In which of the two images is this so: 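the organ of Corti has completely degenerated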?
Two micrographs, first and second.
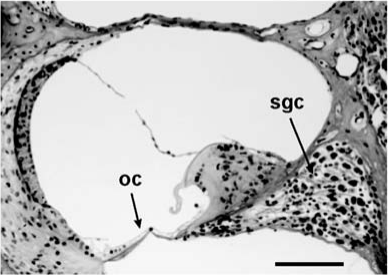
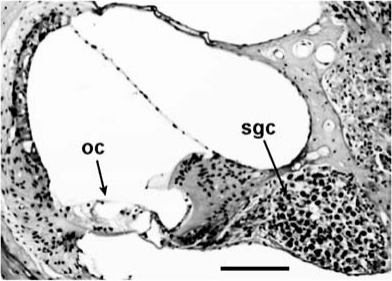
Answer: The first image.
